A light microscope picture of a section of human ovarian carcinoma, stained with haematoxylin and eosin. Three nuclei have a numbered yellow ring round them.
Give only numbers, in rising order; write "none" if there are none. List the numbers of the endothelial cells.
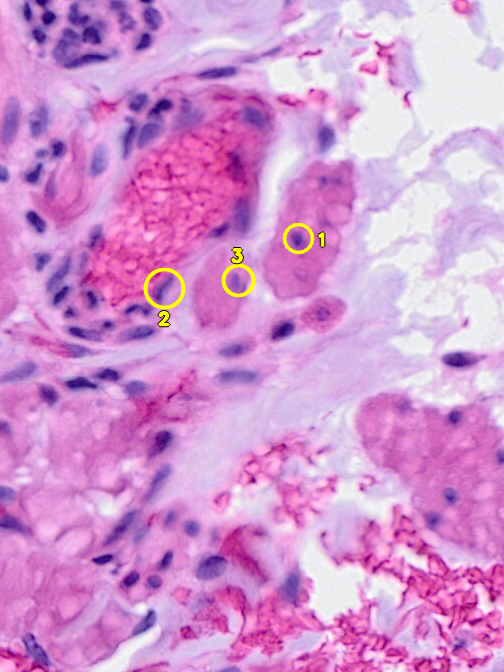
2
